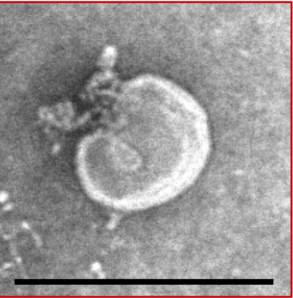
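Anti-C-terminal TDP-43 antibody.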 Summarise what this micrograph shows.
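This electron micrograph shows a single isolated vesicle lying free on a grey background, with no cell around it. The vesicle is round and fairly large, outlined by a thick bright rim. Inside the rim lies a fainter, darker circular outline, so that the vesicle looks cup-shaped or partly collapsed. Irregular bright fragments of membrane-like material cluster against one side of the vesicle and extend a short way beyond it. A few smaller specks are scattered over the surrounding background.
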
